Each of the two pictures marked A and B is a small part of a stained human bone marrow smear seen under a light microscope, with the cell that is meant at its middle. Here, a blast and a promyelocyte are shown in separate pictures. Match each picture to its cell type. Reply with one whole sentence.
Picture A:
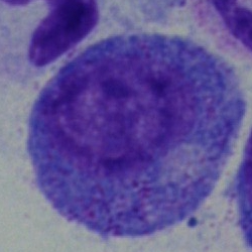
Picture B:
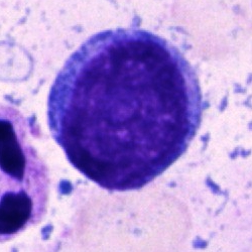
Picture A is of a promyelocyte, and picture B is of a blast.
